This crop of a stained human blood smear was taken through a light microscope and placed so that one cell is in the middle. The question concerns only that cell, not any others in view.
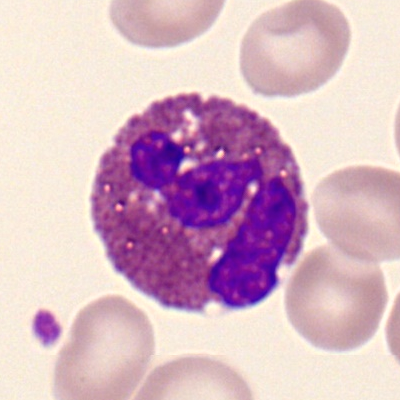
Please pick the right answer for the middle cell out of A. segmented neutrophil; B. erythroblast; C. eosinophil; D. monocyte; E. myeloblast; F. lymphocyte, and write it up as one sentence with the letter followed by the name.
That cell in the center is an eosinophil, hence option C.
